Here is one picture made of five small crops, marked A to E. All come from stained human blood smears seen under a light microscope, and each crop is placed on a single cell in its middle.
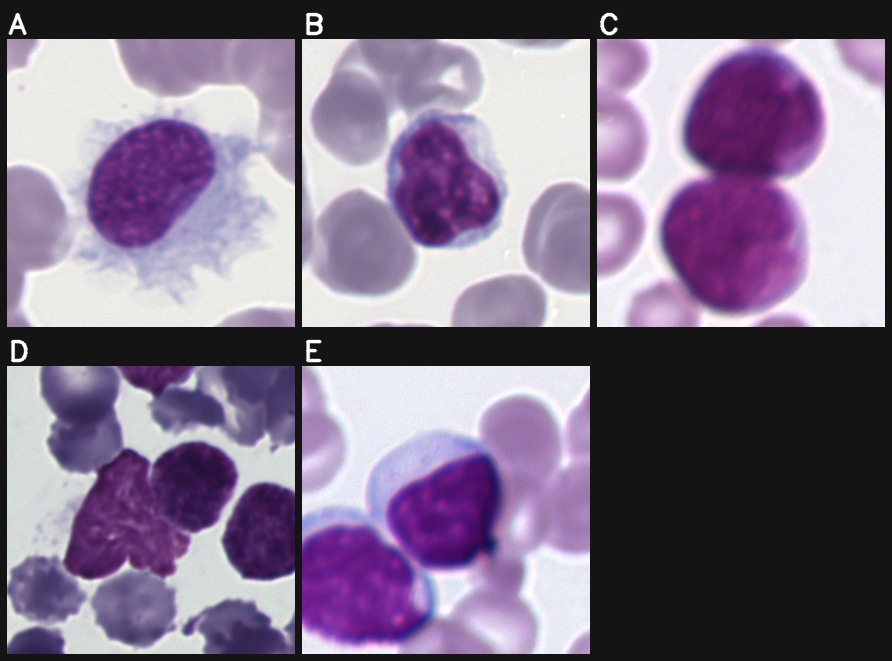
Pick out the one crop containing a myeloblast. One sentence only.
Crop C is identified as the crop showing a myeloblast.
